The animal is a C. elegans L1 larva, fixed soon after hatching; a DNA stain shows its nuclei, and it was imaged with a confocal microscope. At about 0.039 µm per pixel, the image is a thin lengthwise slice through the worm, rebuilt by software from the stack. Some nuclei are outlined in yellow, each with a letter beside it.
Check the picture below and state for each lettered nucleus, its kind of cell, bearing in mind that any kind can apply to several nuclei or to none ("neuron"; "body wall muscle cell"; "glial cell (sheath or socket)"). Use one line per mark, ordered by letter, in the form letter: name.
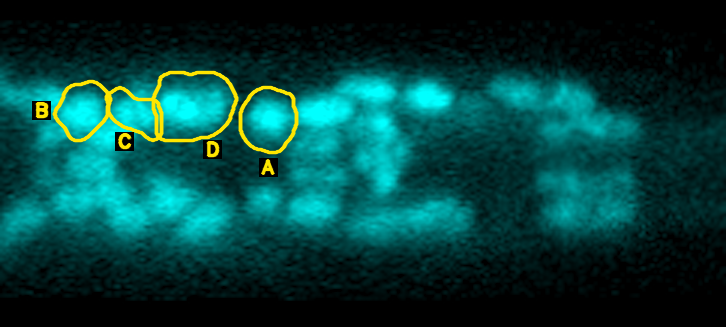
A: neuron
B: neuron
C: neuron
D: glial cell (sheath or socket)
